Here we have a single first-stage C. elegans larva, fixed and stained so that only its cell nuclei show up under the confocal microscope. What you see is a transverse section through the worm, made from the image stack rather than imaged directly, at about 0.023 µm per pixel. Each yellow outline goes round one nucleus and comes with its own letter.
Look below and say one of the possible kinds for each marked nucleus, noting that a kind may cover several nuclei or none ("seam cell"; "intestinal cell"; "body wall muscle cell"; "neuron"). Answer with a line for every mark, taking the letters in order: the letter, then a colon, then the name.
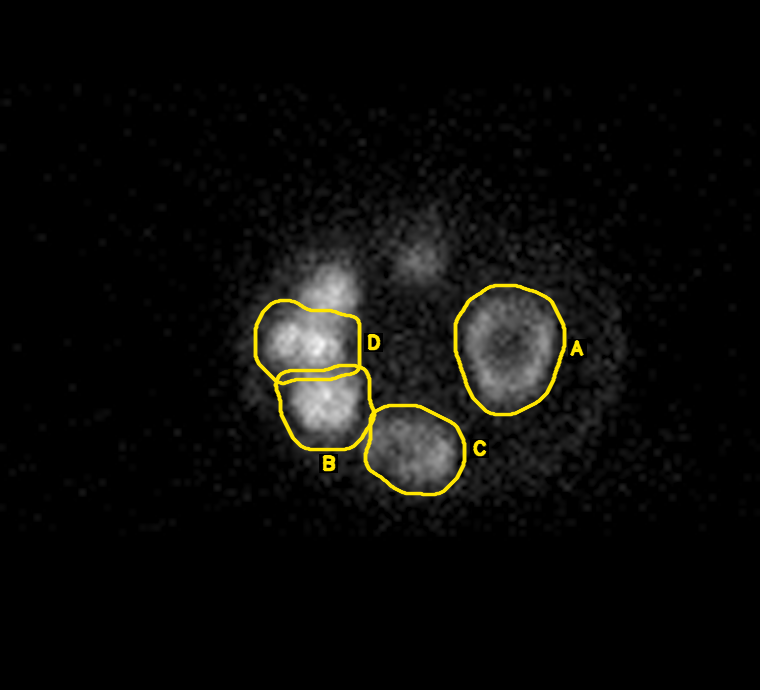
A: intestinal cell
B: body wall muscle cell
C: seam cell
D: neuron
